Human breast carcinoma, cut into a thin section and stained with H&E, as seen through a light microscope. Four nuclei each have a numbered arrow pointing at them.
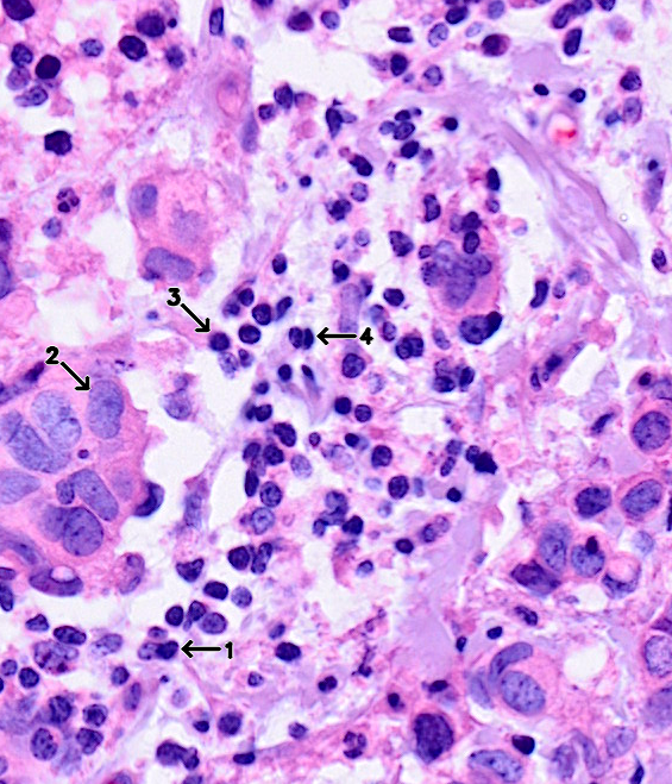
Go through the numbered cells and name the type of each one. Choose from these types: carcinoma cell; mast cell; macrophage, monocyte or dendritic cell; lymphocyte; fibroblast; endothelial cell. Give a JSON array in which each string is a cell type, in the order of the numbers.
["lymphocyte", "carcinoma cell", "lymphocyte", "lymphocyte"]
